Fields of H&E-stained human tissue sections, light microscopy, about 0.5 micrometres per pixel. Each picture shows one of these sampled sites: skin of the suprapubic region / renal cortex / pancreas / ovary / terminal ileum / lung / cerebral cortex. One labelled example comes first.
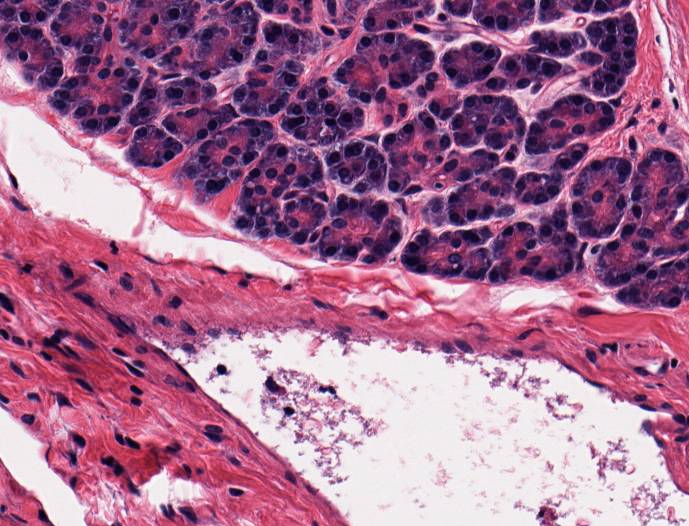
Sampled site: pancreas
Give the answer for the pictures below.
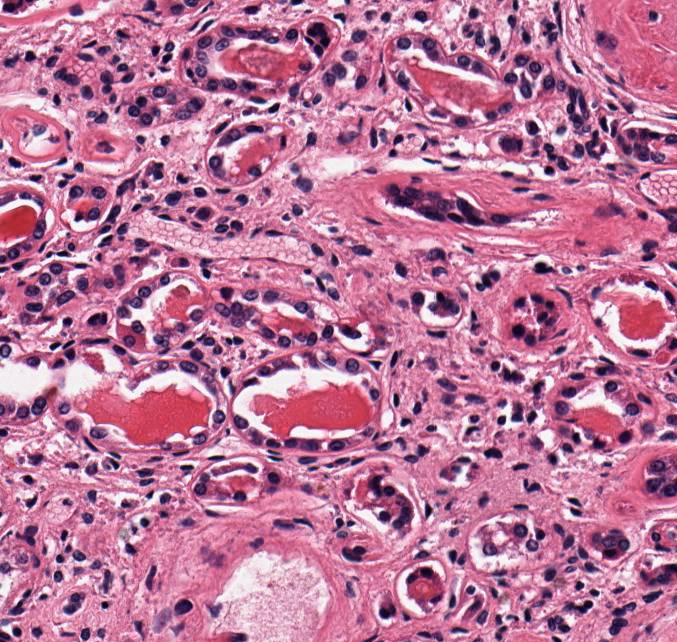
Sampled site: renal cortex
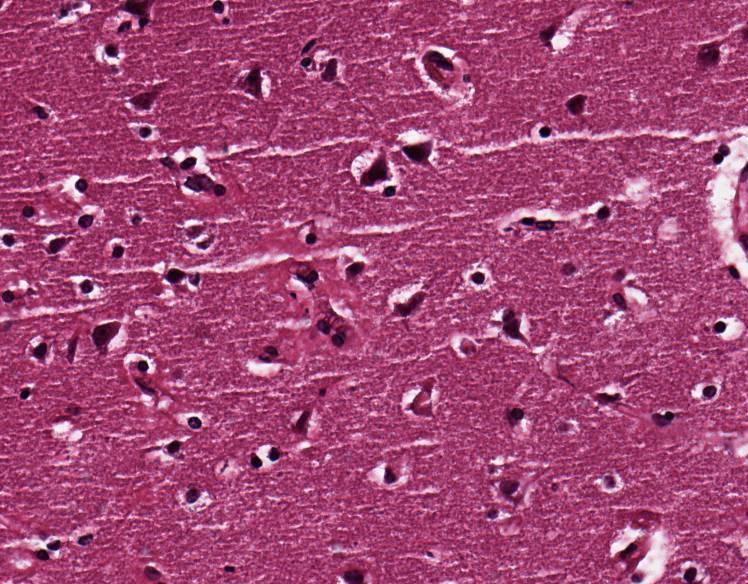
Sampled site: cerebral cortex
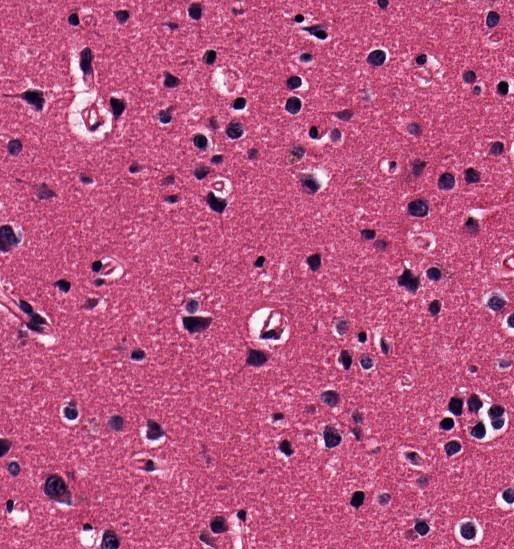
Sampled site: cerebral cortex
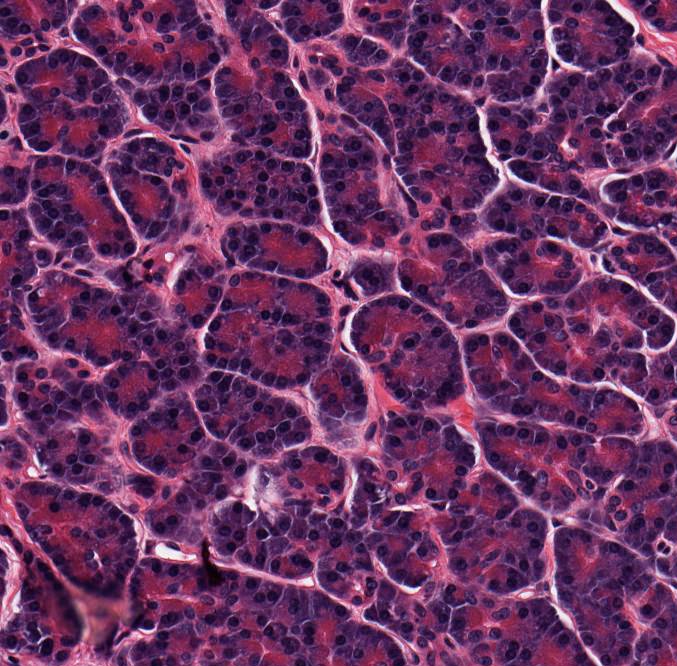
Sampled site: pancreas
